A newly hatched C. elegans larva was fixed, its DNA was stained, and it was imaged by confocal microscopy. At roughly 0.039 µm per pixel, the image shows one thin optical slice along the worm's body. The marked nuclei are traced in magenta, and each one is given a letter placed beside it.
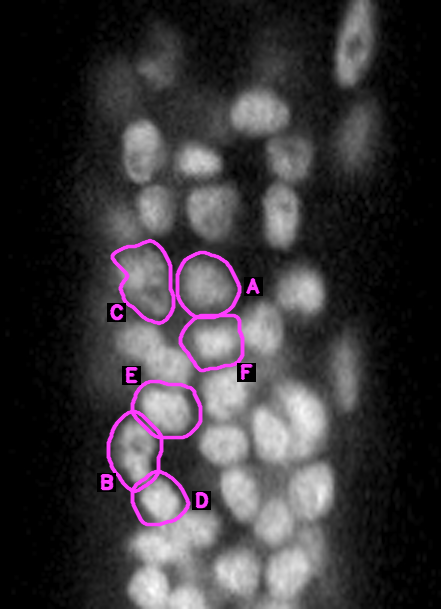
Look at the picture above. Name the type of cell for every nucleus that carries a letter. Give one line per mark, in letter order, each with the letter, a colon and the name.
A: pharyngeal muscle cell
B: body wall muscle cell
C: body wall muscle cell
D: neuron
E: neuron
F: neuron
